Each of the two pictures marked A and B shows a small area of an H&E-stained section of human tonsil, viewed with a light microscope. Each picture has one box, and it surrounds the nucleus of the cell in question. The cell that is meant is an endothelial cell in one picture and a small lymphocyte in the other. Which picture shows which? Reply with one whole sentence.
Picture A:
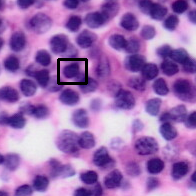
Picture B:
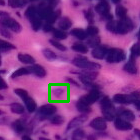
Picture A is of a small lymphocyte, and picture B is of an endothelial cell.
